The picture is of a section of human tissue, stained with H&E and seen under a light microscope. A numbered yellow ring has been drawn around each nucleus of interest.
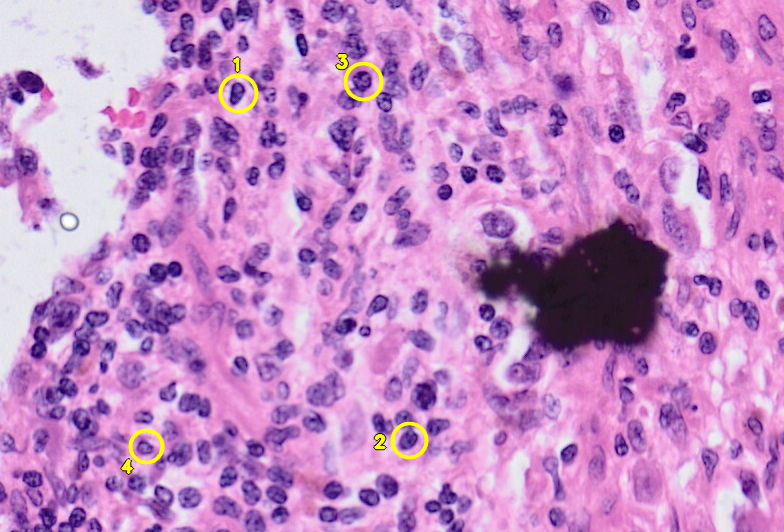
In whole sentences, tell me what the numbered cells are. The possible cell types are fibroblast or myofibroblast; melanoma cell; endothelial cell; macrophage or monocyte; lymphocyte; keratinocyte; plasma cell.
Cell 1 is a lymphocyte, cell 2 is a lymphocyte, cell 3 is a plasma cell and cell 4 is a lymphocyte.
